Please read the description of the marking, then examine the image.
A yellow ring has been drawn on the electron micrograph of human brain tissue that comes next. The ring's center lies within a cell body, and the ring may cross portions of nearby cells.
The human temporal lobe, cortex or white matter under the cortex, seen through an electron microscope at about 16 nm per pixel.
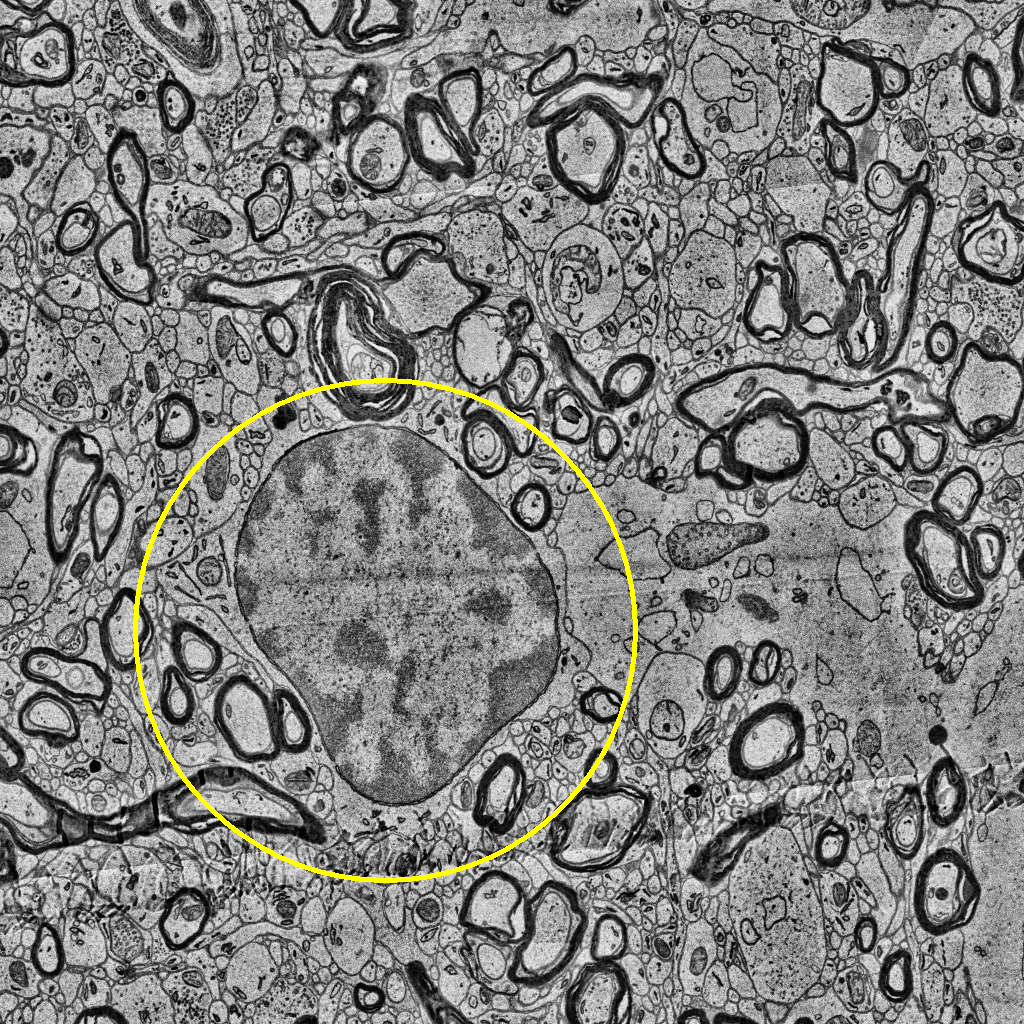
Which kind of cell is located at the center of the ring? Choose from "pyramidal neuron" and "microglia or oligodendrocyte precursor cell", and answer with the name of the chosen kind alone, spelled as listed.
microglia or oligodendrocyte precursor cell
